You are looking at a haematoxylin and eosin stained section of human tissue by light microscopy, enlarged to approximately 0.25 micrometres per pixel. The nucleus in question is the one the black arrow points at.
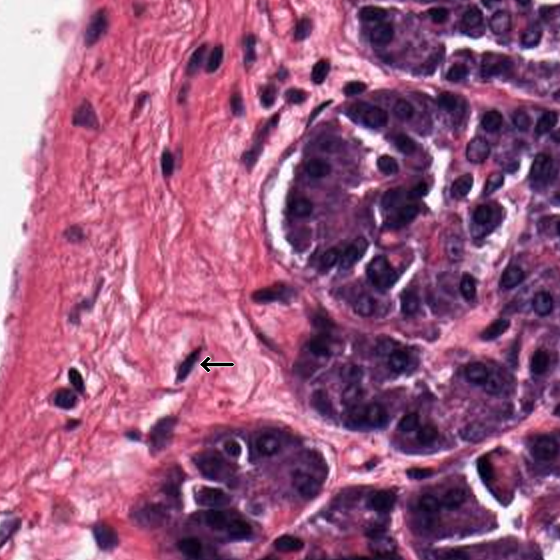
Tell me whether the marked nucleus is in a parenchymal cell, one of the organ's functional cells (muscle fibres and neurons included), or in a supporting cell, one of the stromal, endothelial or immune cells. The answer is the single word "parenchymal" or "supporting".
supporting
